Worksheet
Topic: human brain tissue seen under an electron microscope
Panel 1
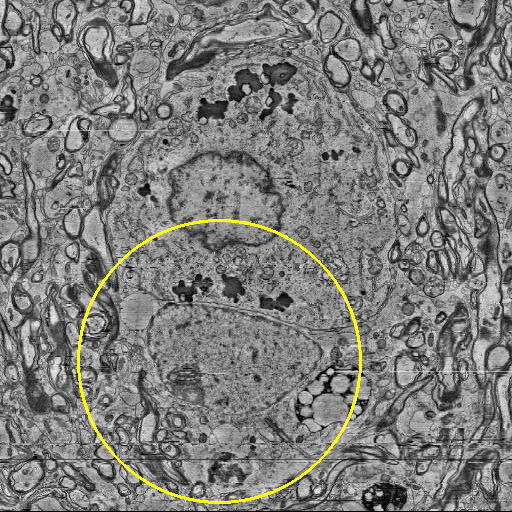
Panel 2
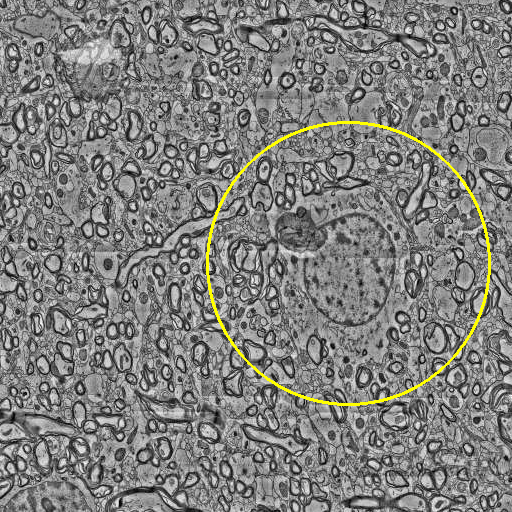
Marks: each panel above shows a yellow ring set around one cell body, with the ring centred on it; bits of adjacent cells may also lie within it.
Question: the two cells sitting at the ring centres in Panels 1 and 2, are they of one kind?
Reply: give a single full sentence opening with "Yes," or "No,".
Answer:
Yes, the two ring-centre cells in Panel 1 and Panel 2 are of one kind.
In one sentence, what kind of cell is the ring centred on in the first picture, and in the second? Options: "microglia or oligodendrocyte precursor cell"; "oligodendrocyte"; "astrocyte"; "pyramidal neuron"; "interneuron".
The first and the second cell are each an astrocyte.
